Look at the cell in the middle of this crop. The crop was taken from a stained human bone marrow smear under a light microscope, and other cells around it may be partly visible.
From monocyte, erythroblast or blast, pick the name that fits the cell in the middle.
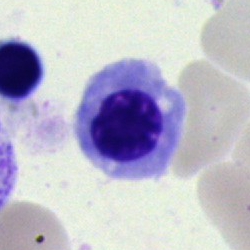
erythroblast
